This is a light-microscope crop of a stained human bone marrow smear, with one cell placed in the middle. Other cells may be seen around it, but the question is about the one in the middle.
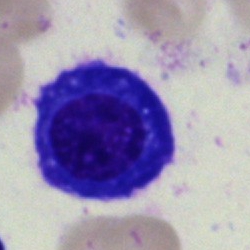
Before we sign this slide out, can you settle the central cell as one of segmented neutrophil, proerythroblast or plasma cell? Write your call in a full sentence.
The cell found in the middle of this crop is a plasma cell.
